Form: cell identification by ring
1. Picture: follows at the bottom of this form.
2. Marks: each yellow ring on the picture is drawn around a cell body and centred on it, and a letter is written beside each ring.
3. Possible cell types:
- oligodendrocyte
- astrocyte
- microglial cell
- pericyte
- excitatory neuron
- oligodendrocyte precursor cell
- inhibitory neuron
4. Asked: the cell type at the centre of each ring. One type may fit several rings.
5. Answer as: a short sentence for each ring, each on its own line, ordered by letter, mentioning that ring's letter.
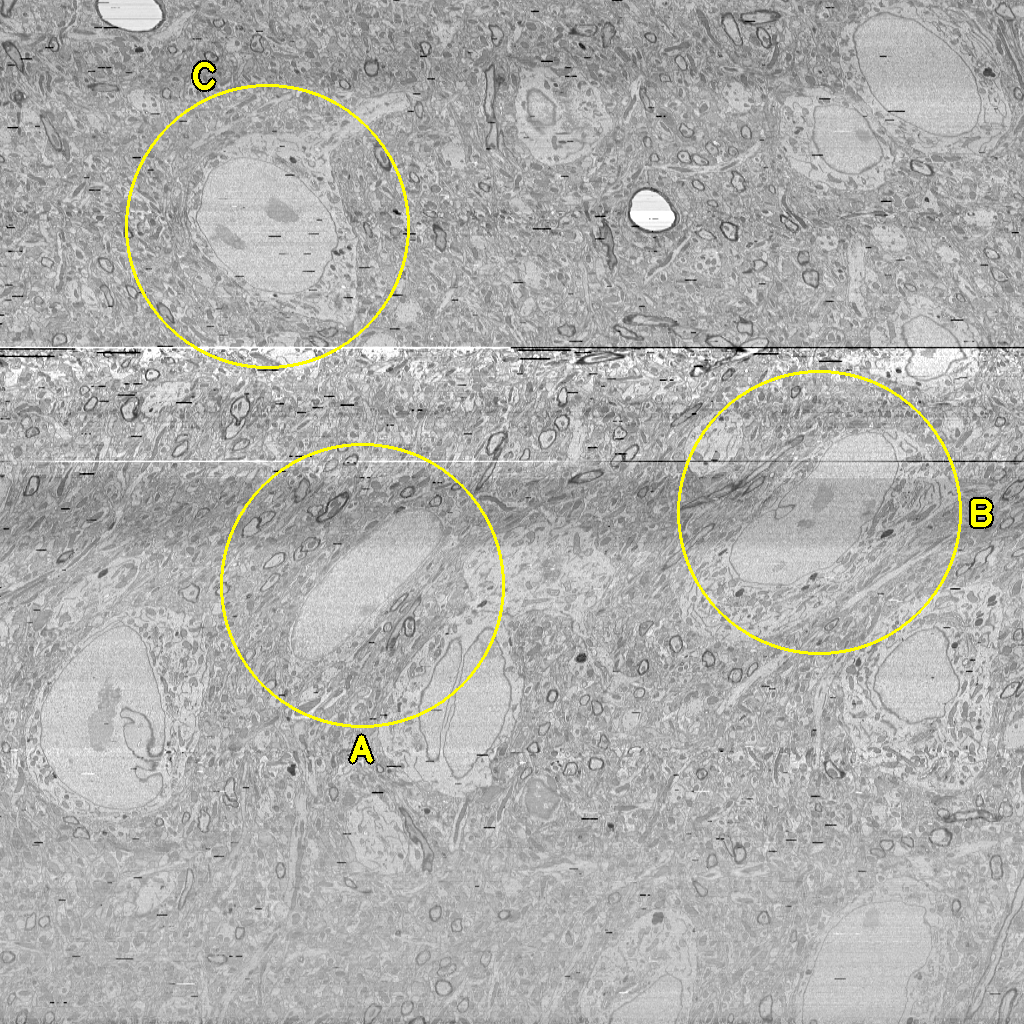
The cell at ring A's centre is an astrocyte.
The cell at ring B's centre is an inhibitory neuron.
The cell at ring C's centre is an excitatory neuron.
